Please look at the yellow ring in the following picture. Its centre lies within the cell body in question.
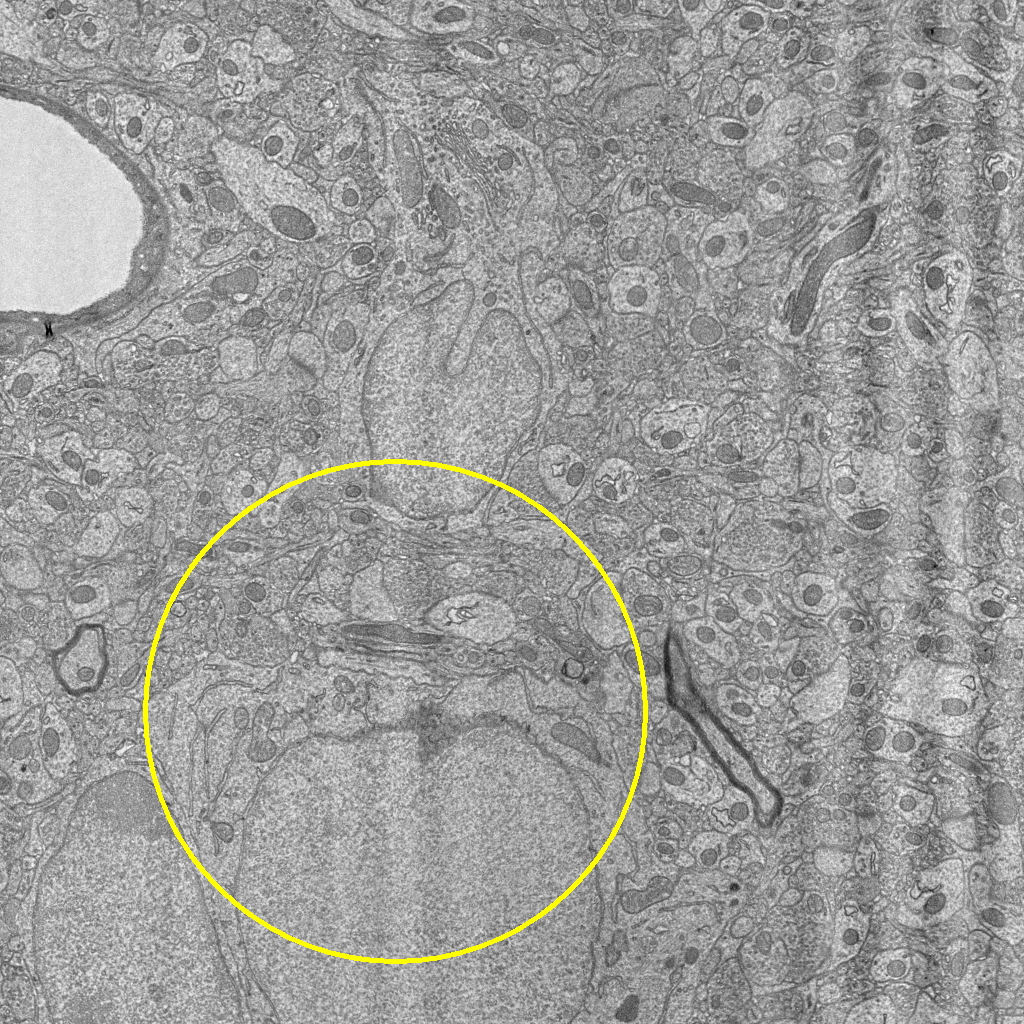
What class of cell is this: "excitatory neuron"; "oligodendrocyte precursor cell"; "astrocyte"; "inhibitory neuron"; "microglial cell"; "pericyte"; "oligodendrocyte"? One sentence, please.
The centre of the ring lies in the cell body of an oligodendrocyte precursor cell.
